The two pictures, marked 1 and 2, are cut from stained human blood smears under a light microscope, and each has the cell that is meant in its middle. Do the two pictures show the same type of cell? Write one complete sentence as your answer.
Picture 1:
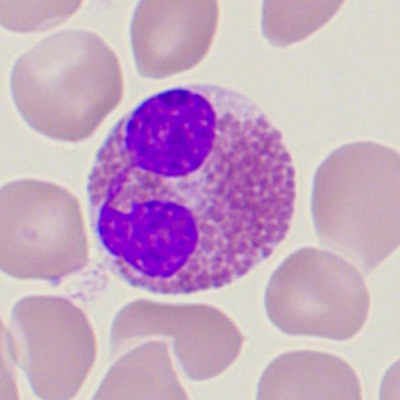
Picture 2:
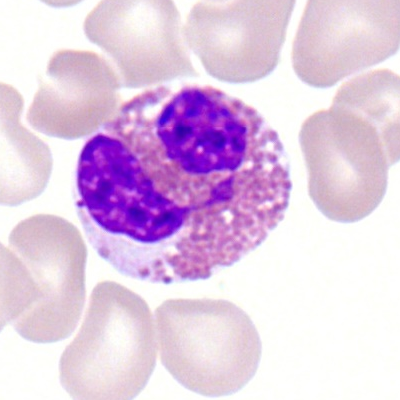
Yes, both are eosinophils.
